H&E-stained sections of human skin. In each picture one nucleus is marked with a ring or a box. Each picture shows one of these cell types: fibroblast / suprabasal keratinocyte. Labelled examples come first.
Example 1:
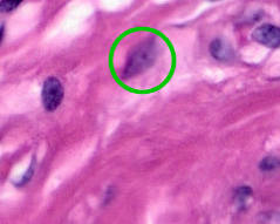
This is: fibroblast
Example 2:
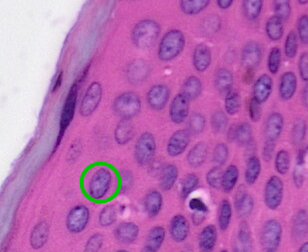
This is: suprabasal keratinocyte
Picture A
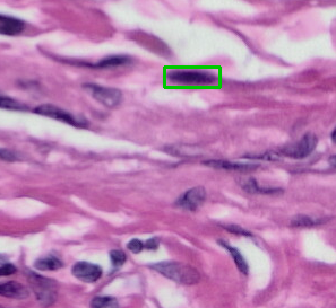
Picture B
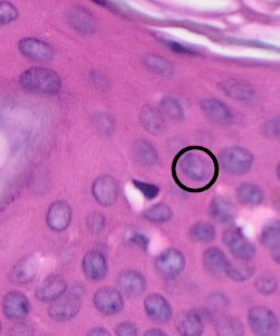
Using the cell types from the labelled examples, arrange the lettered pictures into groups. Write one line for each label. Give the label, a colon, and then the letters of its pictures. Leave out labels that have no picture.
fibroblast: A
suprabasal keratinocyte: B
